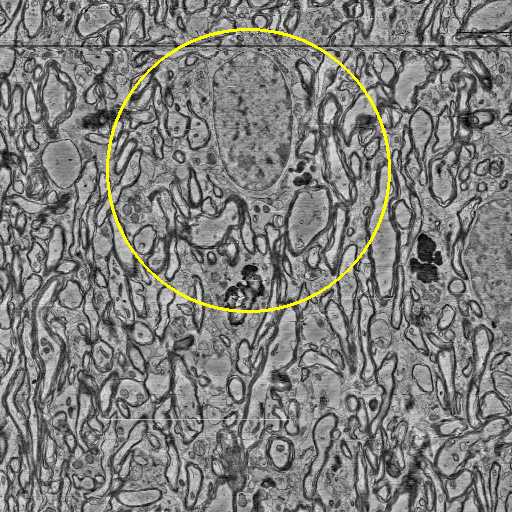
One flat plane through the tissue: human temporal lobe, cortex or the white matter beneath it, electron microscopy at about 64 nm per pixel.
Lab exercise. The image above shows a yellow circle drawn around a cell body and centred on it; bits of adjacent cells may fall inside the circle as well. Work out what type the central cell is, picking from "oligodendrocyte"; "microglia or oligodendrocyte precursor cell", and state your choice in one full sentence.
In the image above, the cell at the centre of the yellow circle is a microglial cell or oligodendrocyte precursor cell.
